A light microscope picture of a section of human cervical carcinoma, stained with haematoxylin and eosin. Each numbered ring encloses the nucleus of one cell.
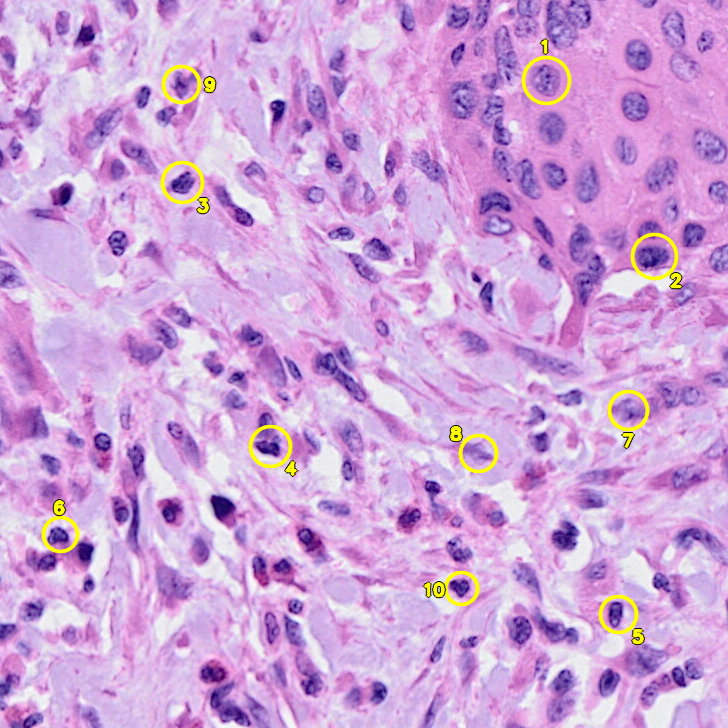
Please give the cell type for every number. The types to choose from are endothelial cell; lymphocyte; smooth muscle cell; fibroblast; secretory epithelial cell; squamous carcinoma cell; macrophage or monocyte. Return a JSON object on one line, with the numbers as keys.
{"1": "squamous carcinoma cell", "2": "squamous carcinoma cell", "3": "lymphocyte", "4": "lymphocyte", "5": "lymphocyte", "6": "lymphocyte", "7": "fibroblast", "8": "fibroblast", "9": "macrophage or monocyte", "10": "lymphocyte"}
